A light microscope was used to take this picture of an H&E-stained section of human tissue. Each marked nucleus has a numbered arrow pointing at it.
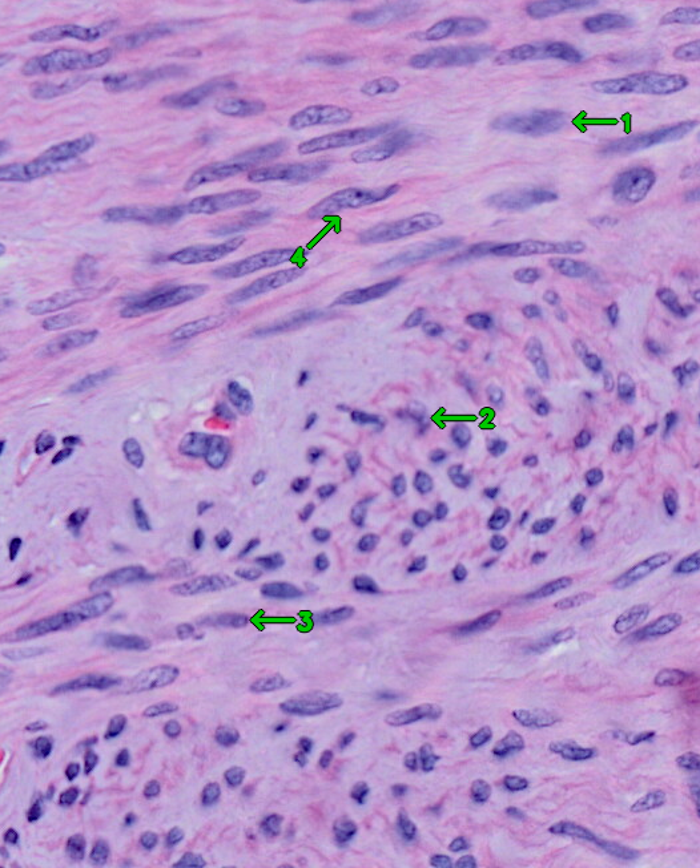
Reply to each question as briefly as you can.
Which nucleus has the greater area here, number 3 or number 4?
4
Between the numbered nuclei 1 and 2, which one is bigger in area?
1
